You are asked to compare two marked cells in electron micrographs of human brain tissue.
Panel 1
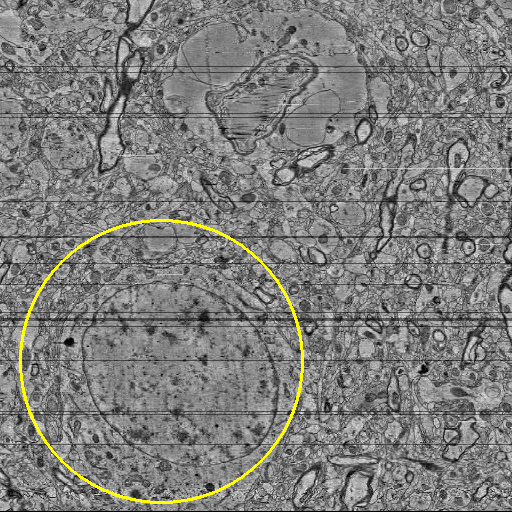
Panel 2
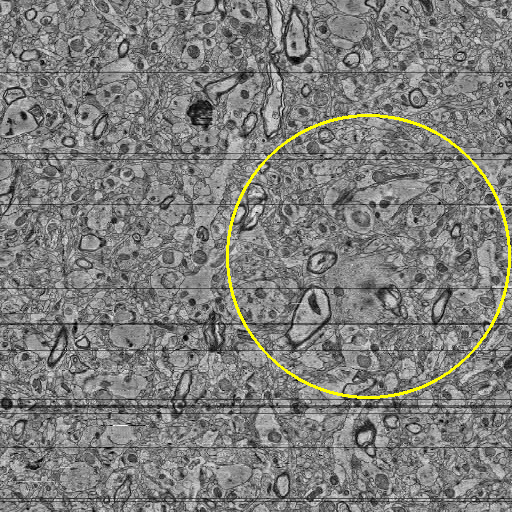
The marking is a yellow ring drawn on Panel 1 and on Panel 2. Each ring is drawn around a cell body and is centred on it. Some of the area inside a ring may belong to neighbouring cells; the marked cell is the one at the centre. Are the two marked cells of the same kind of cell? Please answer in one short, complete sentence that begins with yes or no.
No, the two marked cells are of two kinds.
